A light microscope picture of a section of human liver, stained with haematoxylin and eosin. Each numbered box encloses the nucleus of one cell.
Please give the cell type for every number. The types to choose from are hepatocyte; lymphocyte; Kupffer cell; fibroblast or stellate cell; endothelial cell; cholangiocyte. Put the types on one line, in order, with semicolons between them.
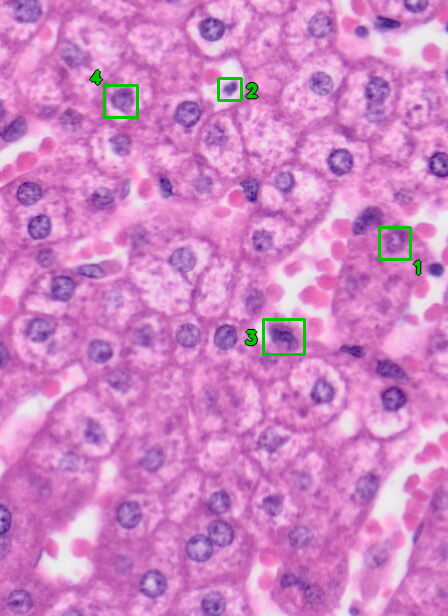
hepatocyte; lymphocyte; Kupffer cell; hepatocyte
